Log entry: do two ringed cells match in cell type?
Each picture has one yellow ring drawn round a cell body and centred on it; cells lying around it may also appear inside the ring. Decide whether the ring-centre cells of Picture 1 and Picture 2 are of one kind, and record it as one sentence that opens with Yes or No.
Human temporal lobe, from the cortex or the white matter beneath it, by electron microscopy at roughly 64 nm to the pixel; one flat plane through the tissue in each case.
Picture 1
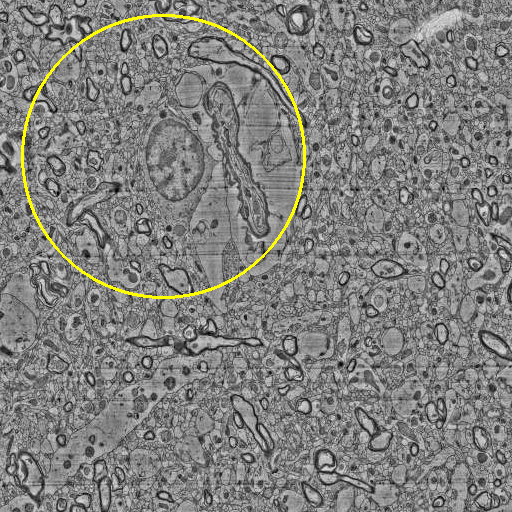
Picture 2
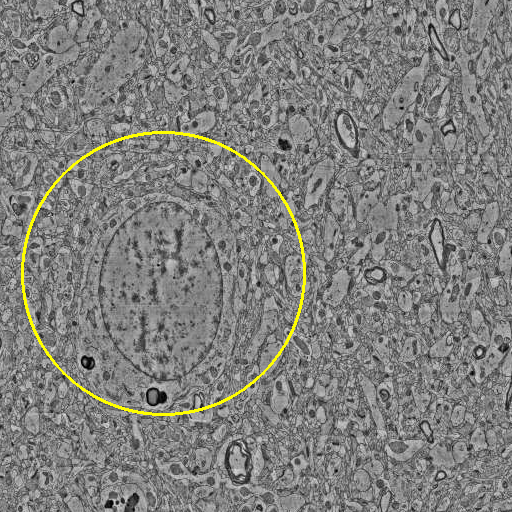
No, the cells at the ring centres of the two pictures belong to two kinds.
